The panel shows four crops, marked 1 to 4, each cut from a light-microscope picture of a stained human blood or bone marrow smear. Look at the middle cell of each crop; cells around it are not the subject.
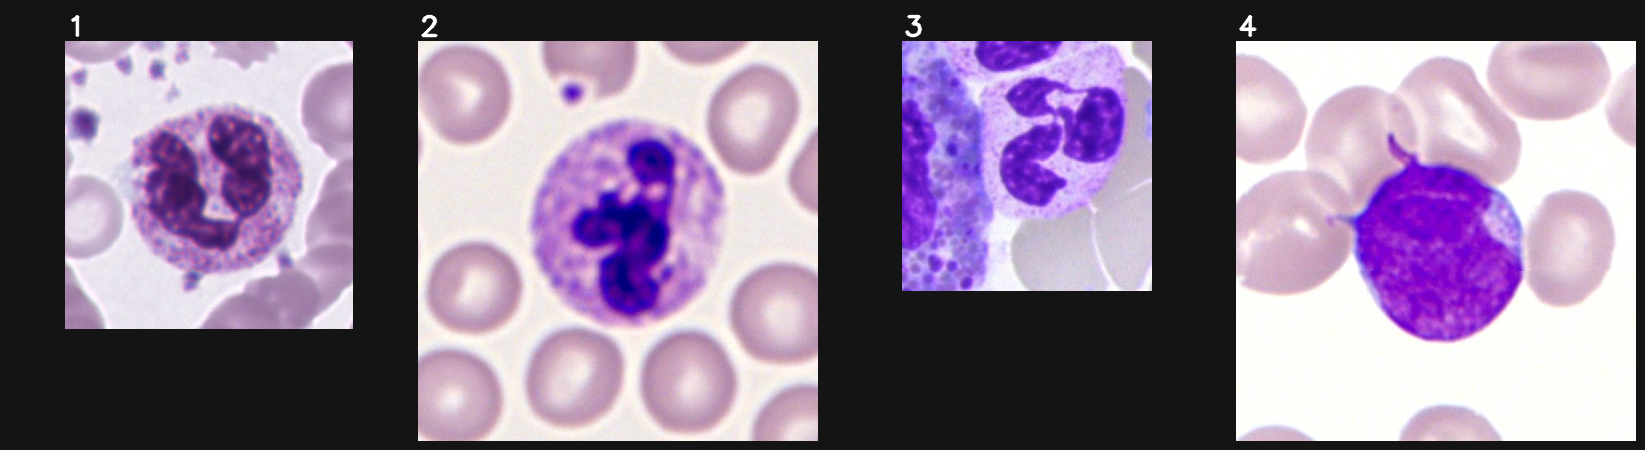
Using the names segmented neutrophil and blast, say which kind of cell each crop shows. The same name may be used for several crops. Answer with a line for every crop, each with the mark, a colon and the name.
1: segmented neutrophil
2: segmented neutrophil
3: segmented neutrophil
4: blast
